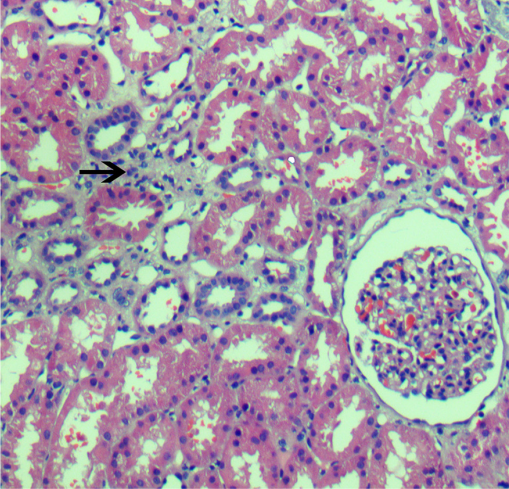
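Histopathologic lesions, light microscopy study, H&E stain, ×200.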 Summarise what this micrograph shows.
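This is renal cortex showing many cross-sectioned renal tubules and a glomerulus at the right. The tubules are lined by cuboidal cells with pink cytoplasm and dark round nuclei, some with open or slightly dilated lumens. Between the tubules the interstitium is widened by pale fibrous tissue containing scattered small dark nuclei of inflammatory cells. The glomerulus sits within a clear Bowman's space and has a cellular tuft with red blood cells in its loops.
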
